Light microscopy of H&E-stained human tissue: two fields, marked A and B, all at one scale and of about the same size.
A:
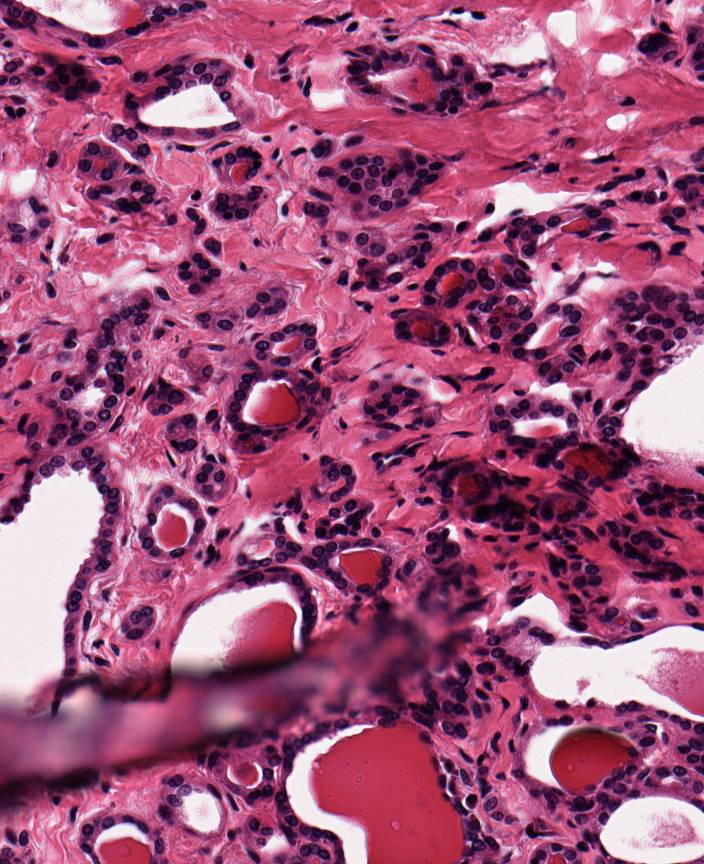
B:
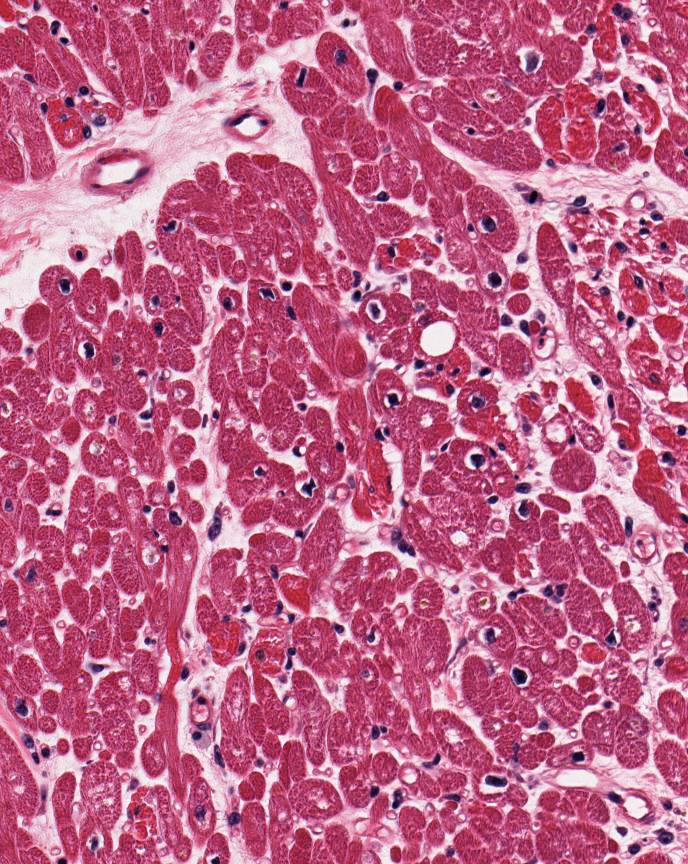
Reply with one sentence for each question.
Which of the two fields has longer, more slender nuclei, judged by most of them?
The nuclei are more elongated in field A.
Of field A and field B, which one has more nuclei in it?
The larger number of nuclei is in field A.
